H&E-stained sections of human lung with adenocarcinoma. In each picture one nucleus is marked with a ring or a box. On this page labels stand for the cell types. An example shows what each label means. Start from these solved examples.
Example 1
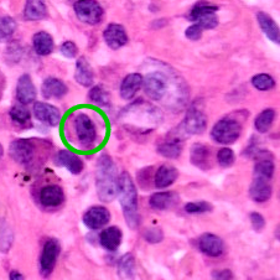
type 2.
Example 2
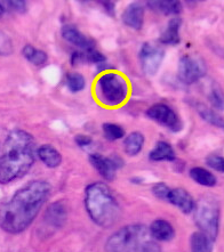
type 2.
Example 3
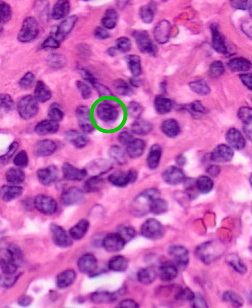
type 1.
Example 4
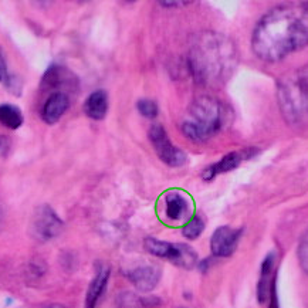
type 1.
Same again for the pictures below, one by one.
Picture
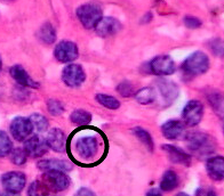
type 1.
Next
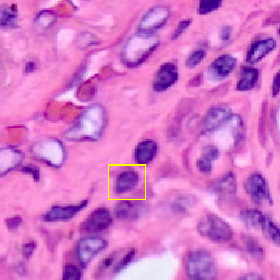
type 2.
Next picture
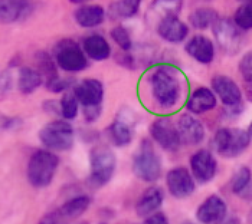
type 1.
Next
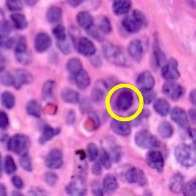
type 2.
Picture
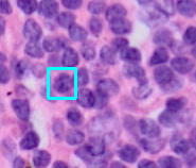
type 1.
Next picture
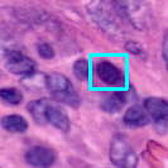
type 2.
